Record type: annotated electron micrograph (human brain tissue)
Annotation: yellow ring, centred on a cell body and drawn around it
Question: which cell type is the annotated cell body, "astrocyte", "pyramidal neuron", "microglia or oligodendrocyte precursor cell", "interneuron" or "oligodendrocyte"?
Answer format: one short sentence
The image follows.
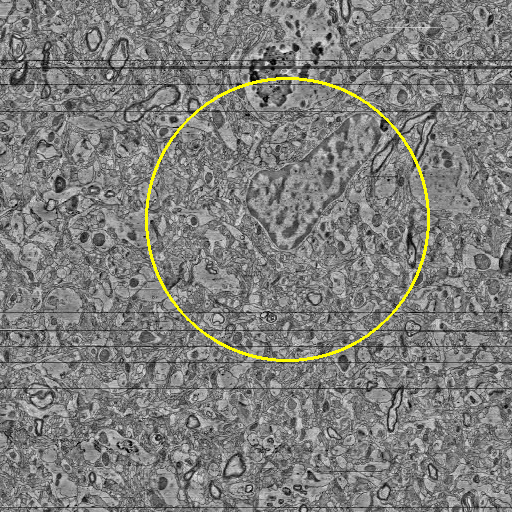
The annotated cell body is that of a microglial cell or oligodendrocyte precursor cell.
